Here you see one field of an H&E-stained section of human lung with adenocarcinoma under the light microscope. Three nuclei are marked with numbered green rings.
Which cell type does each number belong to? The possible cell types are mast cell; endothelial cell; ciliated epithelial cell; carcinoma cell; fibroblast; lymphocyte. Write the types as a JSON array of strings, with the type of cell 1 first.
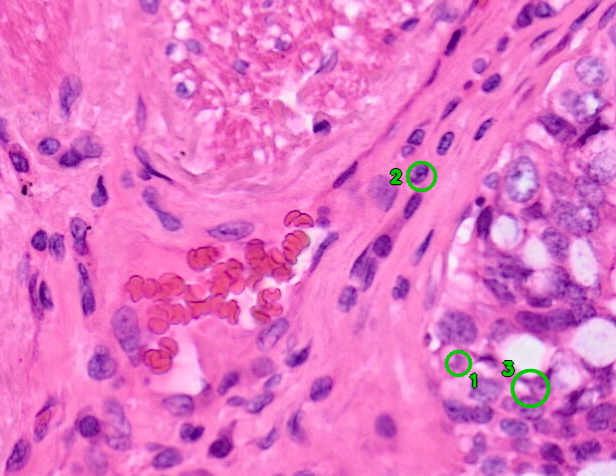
["ciliated epithelial cell", "mast cell", "ciliated epithelial cell"]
